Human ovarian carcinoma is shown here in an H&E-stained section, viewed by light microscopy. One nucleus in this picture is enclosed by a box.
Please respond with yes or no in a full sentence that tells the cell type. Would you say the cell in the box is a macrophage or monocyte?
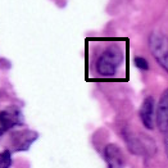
Yes, the cell in the box in this field is a macrophage or monocyte.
